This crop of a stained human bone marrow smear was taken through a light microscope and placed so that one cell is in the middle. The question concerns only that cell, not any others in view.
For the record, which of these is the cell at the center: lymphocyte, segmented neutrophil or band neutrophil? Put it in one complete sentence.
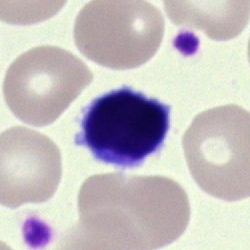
The cell shown in the center of this light-microscope crop is a lymphocyte.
